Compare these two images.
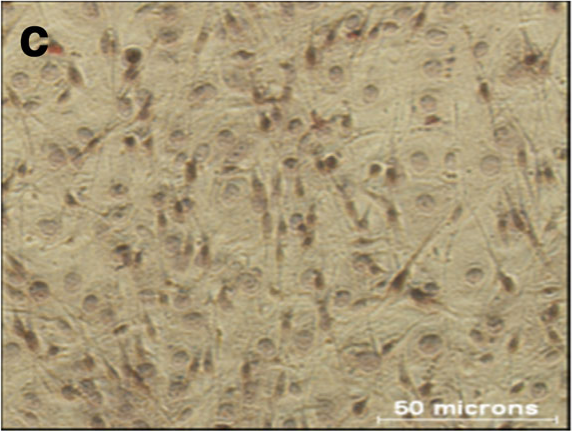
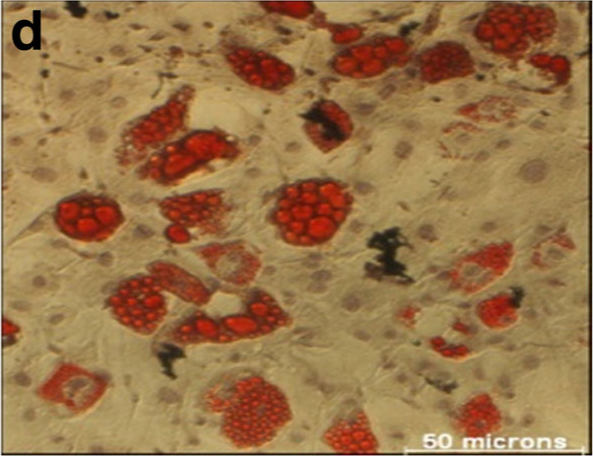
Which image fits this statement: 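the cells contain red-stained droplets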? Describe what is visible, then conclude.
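Second image: many cells packed with round red droplets.
Hence: the second image.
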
